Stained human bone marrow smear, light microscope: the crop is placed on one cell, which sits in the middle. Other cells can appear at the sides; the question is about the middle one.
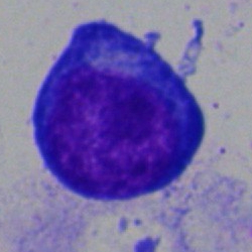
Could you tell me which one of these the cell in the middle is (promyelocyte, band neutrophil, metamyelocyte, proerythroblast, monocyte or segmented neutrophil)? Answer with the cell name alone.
proerythroblast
